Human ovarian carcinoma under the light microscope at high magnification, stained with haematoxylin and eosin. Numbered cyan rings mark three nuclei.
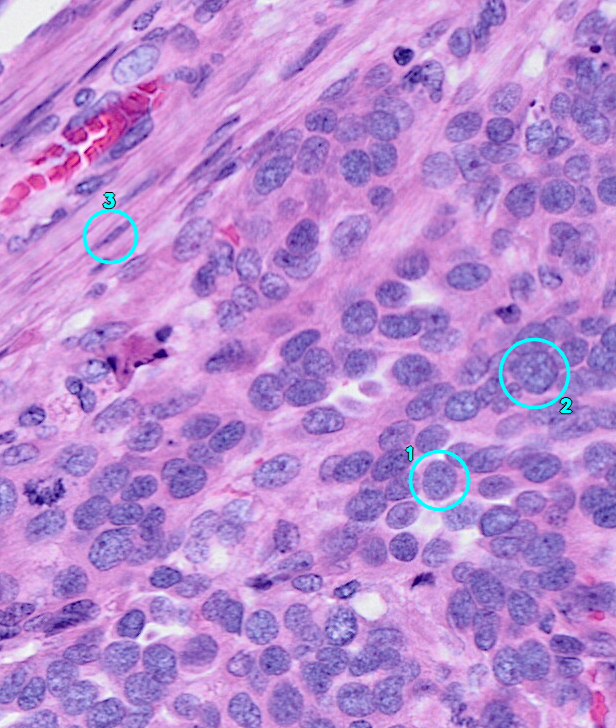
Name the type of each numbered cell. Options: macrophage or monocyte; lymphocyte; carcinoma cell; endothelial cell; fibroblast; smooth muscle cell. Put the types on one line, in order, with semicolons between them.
carcinoma cell; carcinoma cell; fibroblast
